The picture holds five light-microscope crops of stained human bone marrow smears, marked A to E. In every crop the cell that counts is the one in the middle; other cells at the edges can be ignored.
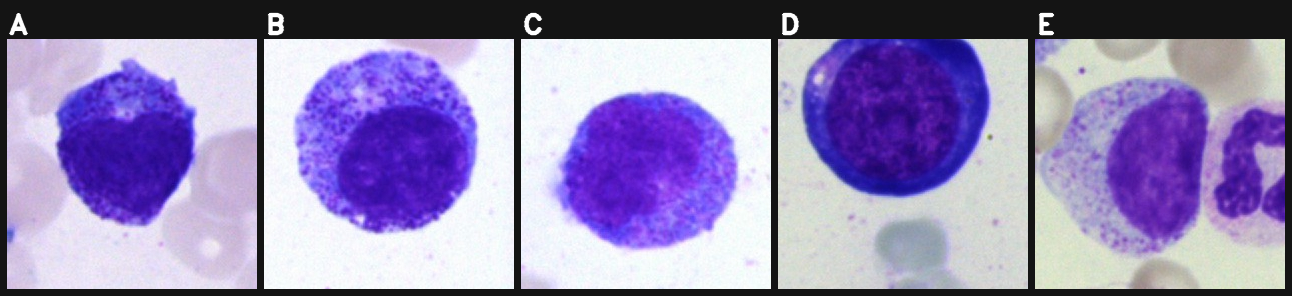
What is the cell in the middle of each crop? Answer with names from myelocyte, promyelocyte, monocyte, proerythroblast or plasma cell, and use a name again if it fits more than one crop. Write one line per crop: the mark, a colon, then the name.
A: promyelocyte
B: promyelocyte
C: promyelocyte
D: proerythroblast
E: myelocyte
